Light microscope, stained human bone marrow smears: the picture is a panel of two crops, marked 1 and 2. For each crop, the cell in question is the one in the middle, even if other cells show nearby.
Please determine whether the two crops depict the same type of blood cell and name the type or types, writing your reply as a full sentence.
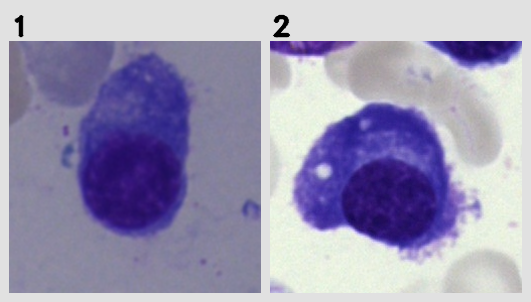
Yes, both crops do show plasma cells in the middle.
